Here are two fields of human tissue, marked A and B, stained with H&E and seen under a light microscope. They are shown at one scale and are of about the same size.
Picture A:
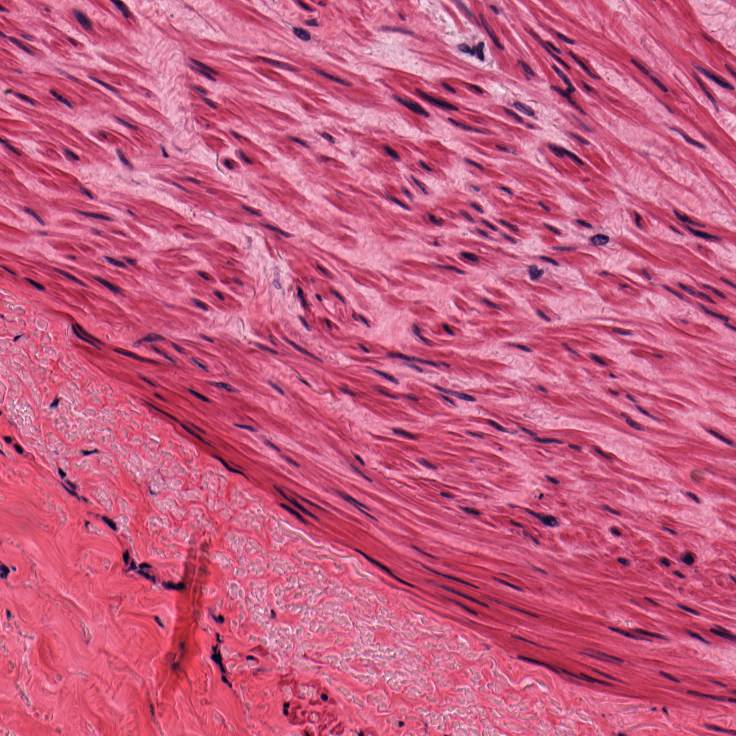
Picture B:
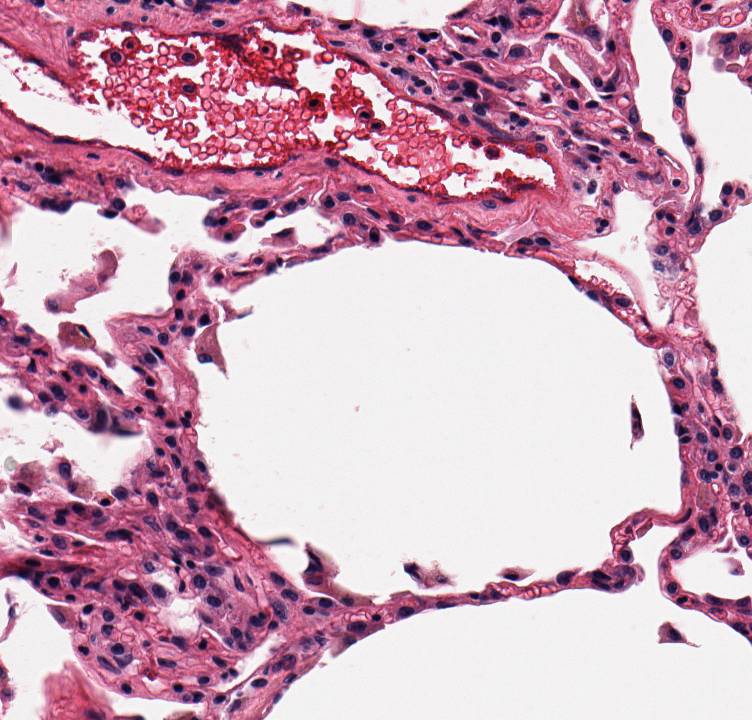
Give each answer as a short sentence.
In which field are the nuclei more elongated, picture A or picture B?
Longer, more slender nuclei lie in picture A.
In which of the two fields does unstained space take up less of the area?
Less of picture A is empty and white.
